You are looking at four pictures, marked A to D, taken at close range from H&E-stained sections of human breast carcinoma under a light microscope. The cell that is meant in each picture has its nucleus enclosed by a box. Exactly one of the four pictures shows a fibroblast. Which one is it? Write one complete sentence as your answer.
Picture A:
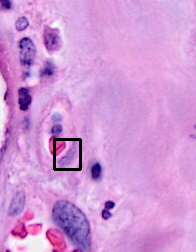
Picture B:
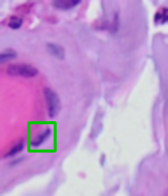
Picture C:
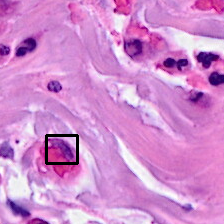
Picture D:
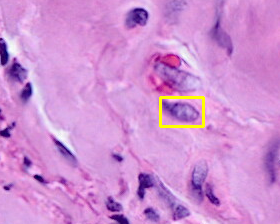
It is picture B that shows the fibroblast.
